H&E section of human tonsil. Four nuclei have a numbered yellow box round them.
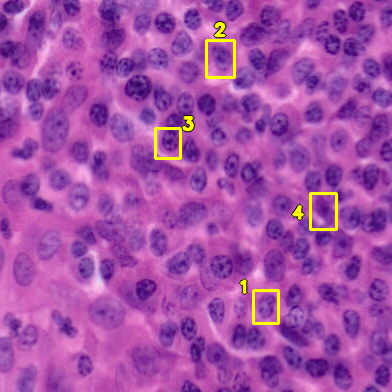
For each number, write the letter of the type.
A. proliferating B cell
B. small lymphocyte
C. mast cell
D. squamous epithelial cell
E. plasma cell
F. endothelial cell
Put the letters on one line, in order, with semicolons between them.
E; E; E; D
